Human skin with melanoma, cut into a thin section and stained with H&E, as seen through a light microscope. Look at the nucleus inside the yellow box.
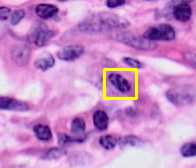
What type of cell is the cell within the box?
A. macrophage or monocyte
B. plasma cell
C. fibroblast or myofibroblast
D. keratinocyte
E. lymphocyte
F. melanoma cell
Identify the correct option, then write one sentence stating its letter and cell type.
It is option B that correctly calls the cell within the box a plasma cell.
